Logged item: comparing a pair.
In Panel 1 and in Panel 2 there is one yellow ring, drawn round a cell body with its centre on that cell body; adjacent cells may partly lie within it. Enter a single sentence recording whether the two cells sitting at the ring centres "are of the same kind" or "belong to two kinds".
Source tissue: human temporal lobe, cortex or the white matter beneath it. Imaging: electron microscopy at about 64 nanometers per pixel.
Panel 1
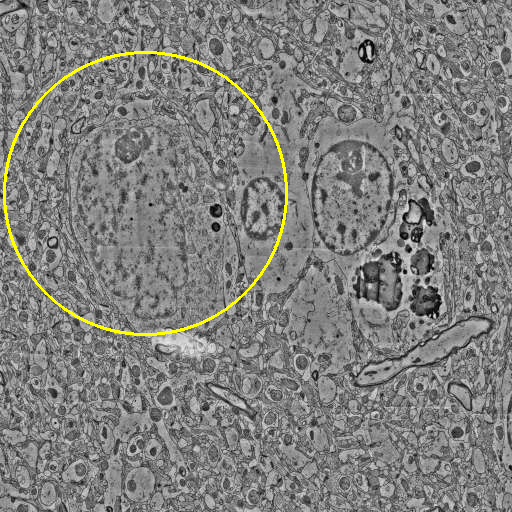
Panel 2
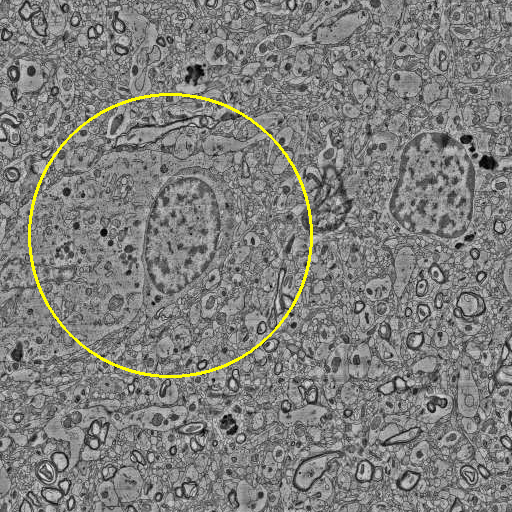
Logged: the cells centred in the rings of Panel 1 and Panel 2 belong to two kinds.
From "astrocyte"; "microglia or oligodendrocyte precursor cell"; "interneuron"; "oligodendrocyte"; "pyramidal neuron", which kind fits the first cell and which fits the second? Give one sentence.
The cell marked in the first picture is an interneuron, and the one marked in the second is an oligodendrocyte.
